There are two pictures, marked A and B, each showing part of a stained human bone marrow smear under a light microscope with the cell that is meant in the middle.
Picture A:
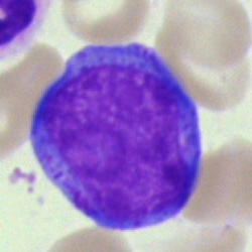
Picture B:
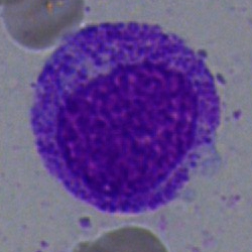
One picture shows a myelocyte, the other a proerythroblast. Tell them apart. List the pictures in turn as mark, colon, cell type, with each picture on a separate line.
A: proerythroblast
B: myelocyte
